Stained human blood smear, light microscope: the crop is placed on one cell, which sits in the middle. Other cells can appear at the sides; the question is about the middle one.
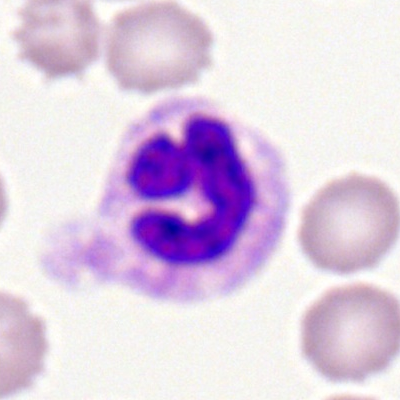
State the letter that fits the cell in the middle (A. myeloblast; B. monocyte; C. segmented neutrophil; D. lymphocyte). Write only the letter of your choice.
C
